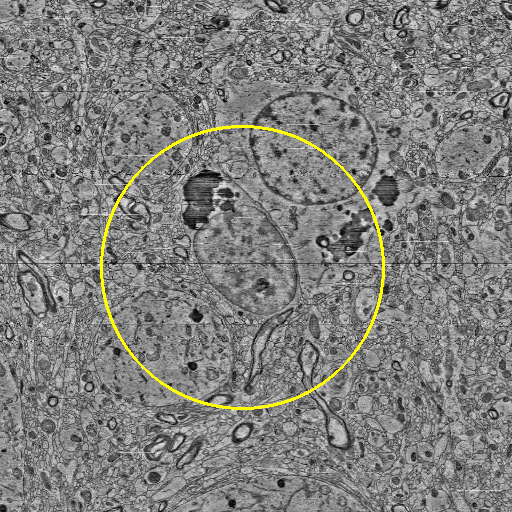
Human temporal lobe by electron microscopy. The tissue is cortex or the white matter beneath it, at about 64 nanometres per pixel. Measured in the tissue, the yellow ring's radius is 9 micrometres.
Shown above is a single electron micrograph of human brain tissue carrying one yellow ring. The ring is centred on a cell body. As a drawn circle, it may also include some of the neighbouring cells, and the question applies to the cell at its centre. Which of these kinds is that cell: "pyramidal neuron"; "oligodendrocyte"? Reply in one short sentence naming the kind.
The cell marked by the ring is an oligodendrocyte.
